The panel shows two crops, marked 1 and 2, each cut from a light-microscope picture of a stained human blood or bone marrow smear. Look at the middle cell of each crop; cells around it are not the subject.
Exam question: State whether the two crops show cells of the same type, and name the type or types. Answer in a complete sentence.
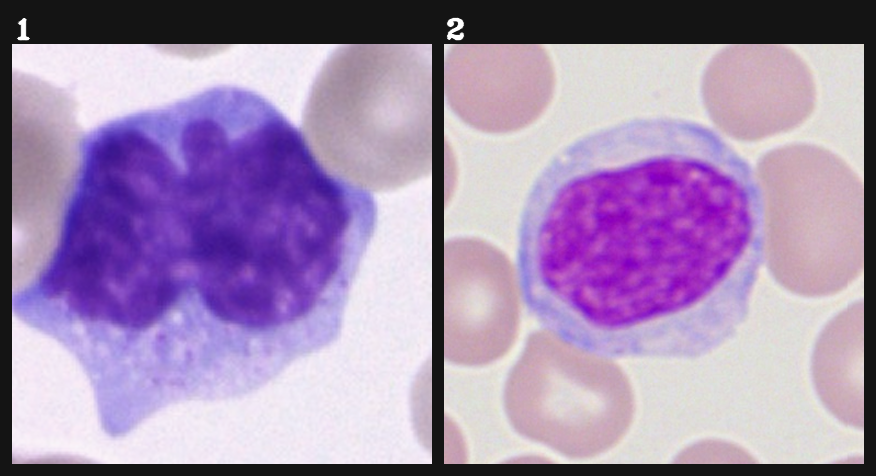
Yes, the cells at the centres of the two crops are monocytes.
